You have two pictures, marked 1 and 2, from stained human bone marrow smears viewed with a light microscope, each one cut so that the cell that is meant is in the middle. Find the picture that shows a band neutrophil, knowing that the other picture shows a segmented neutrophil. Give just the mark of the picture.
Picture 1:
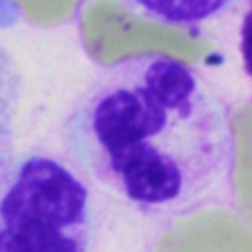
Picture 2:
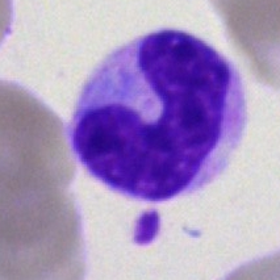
2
